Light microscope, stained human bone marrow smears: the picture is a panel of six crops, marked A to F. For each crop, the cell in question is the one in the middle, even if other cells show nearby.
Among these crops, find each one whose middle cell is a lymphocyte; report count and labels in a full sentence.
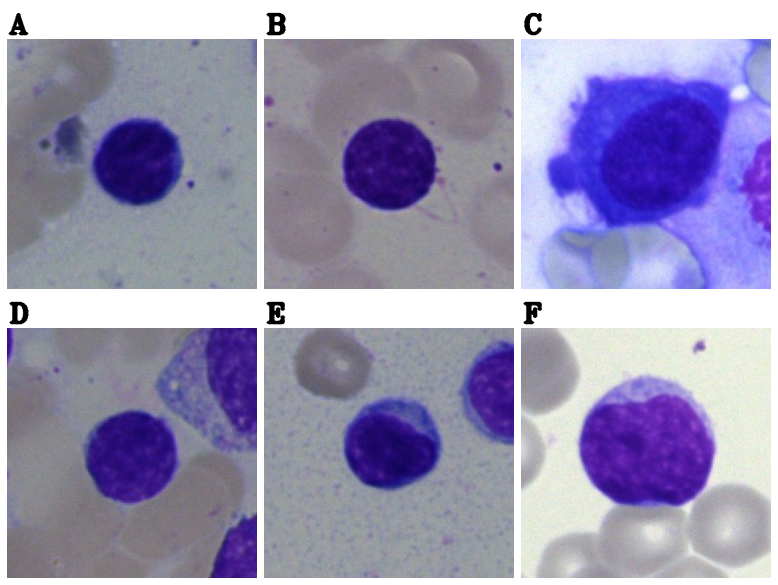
It is in crops A, B, D and E that lymphocytes are shown, four crops in all.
